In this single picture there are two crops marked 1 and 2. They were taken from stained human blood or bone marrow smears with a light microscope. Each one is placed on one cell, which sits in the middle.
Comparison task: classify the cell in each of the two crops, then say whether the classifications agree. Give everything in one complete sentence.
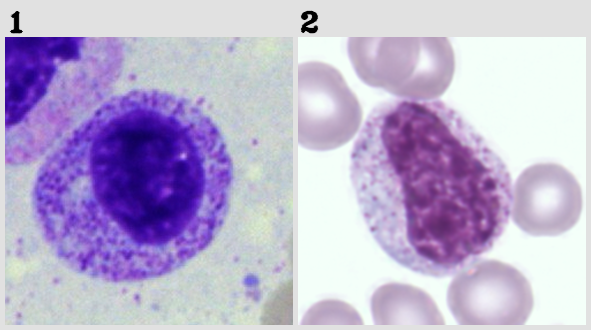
No, a myelocyte is what crop 1 shows, and a metamyelocyte is what crop 2 shows.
